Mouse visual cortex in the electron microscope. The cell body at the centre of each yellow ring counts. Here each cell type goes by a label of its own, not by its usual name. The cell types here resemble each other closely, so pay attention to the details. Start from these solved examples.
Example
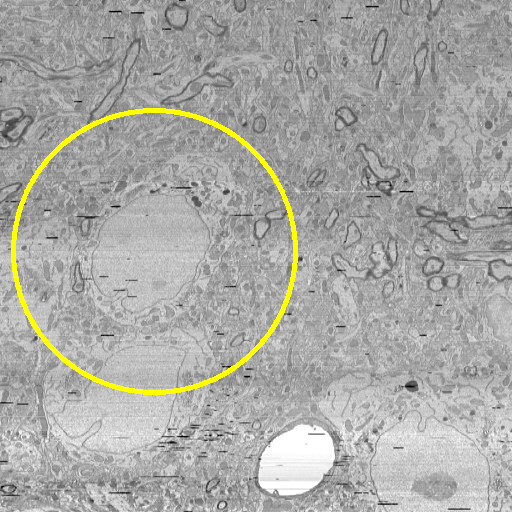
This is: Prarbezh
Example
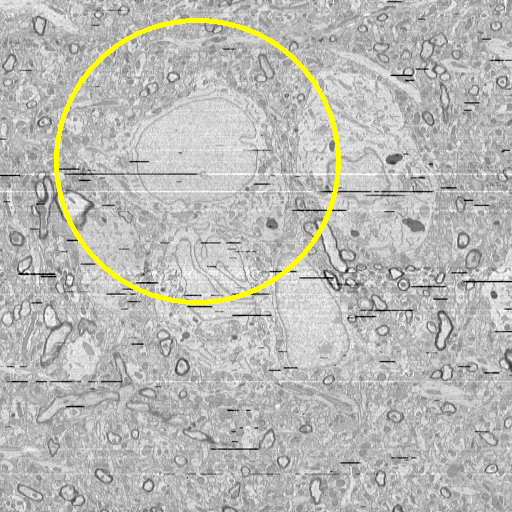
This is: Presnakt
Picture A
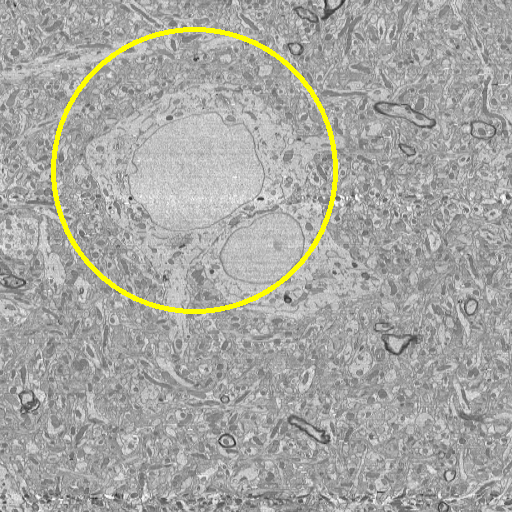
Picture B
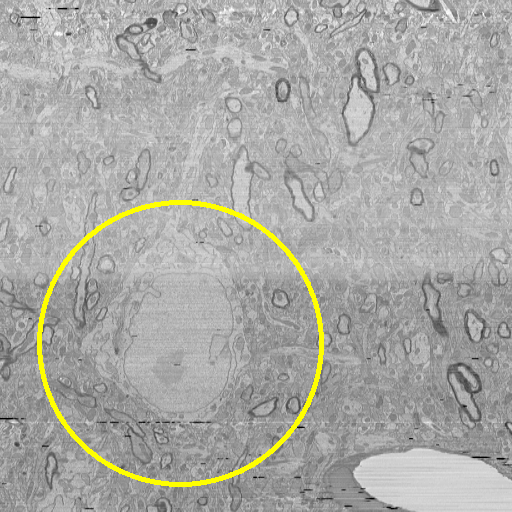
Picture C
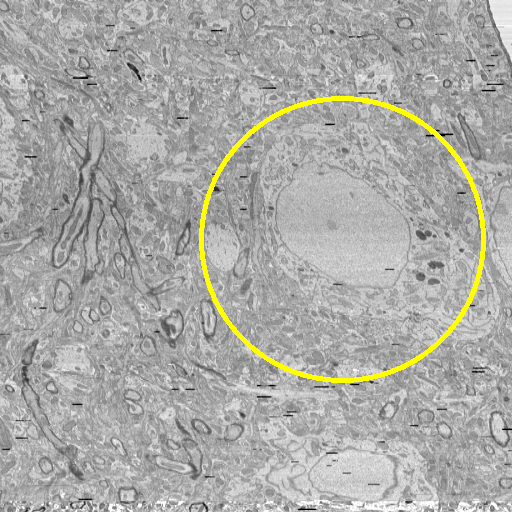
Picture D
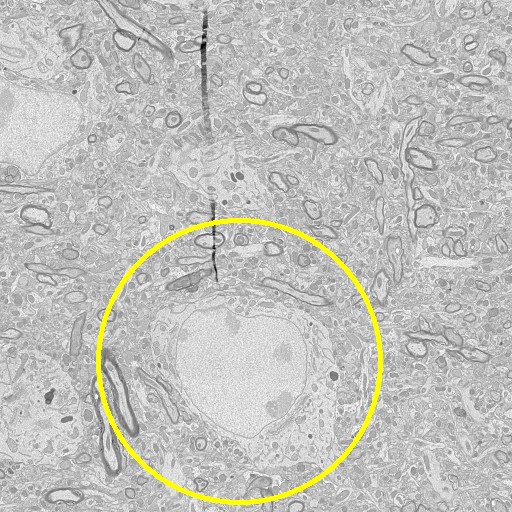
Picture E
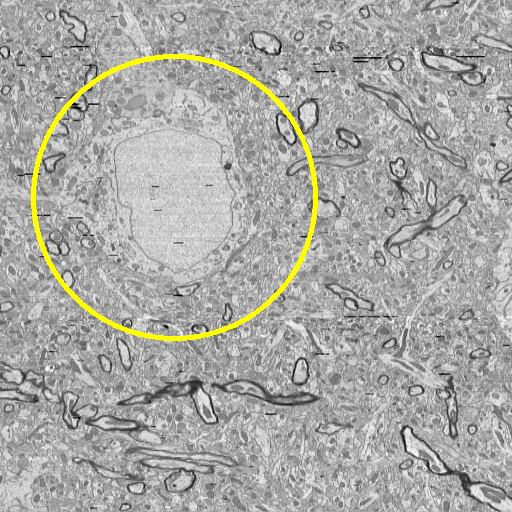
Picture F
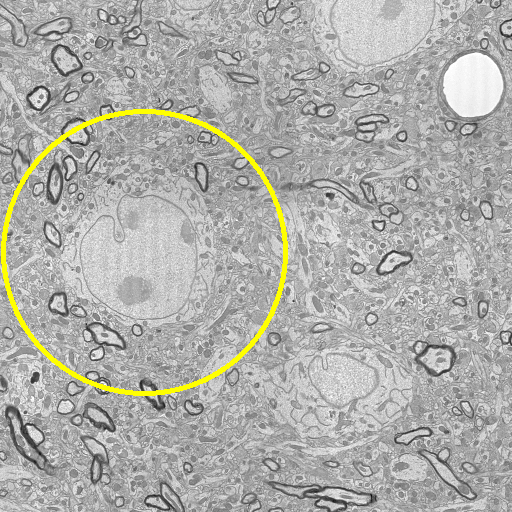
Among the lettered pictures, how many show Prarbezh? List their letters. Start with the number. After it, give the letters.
1, namely C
